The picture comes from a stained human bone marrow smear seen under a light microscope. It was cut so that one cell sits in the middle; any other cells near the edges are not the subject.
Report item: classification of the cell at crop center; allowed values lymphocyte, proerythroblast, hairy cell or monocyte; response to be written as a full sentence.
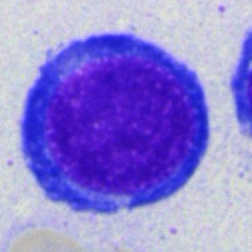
For this crop, the cell in the middle is a proerythroblast.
